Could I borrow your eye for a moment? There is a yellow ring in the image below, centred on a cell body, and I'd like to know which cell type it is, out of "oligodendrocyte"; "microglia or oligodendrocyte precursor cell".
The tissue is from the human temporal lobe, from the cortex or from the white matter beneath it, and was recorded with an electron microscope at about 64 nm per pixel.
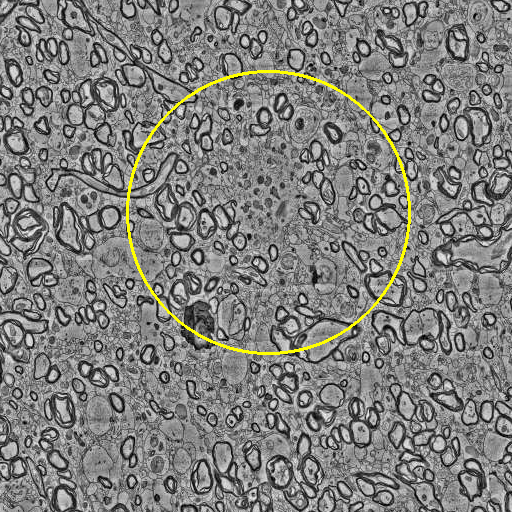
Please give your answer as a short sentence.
The cell body at the centre is that of an oligodendrocyte.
